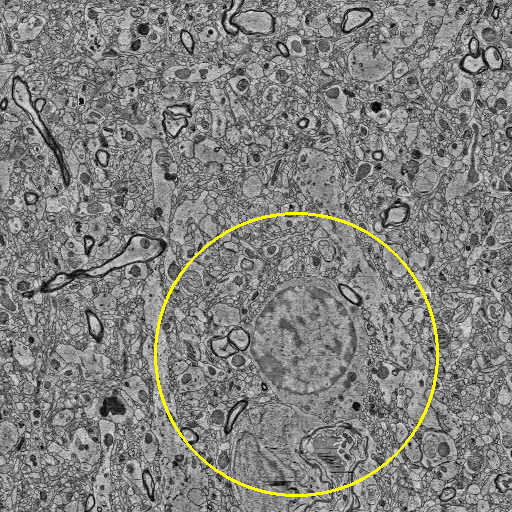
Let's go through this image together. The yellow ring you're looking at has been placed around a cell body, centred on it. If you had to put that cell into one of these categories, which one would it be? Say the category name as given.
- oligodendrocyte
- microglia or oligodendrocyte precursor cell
oligodendrocyte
